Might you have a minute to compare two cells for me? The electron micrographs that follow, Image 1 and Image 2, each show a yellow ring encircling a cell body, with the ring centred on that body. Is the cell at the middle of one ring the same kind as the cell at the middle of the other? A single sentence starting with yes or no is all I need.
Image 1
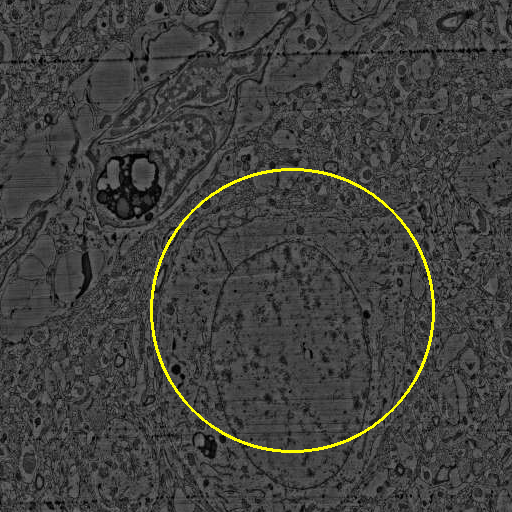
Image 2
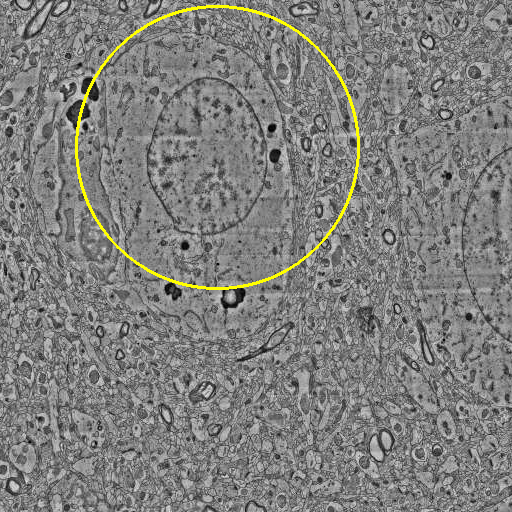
Yes, the cells in the middle of the two rings are of one shared kind.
